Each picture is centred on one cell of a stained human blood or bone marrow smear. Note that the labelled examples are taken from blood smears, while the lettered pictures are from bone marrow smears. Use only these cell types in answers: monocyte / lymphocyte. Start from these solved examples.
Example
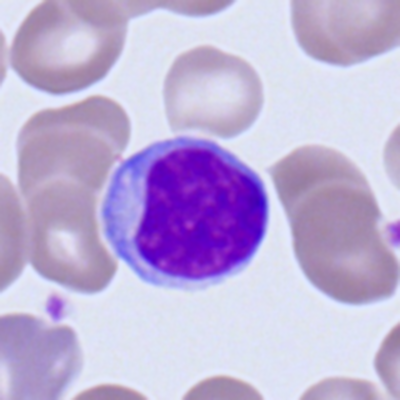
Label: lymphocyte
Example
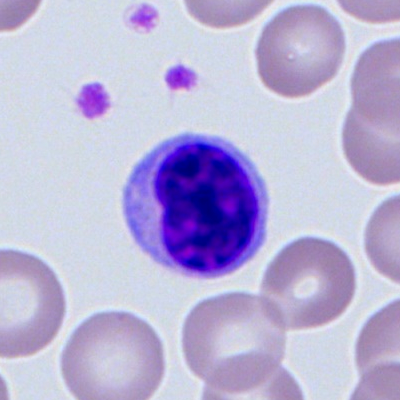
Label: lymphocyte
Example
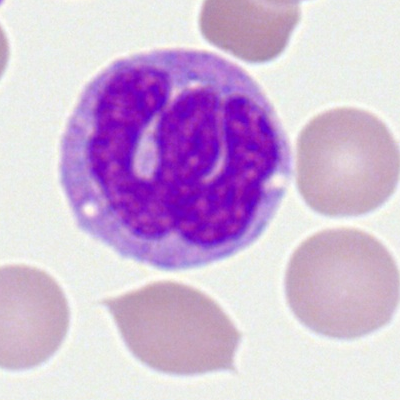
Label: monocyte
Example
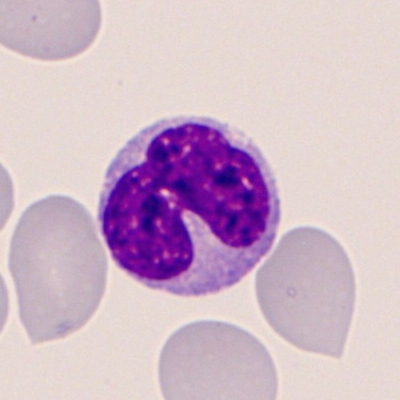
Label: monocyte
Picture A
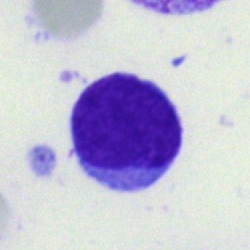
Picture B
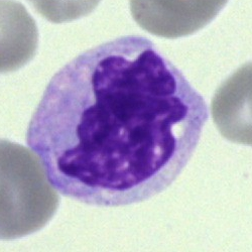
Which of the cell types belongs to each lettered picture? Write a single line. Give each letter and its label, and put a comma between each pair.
A lymphocyte, B monocyte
